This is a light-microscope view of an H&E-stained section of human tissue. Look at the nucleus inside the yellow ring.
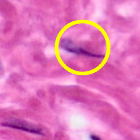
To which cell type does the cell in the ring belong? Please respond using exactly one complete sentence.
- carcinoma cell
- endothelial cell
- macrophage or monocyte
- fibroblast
It is as a fibroblast that the cell in the ring is classified.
